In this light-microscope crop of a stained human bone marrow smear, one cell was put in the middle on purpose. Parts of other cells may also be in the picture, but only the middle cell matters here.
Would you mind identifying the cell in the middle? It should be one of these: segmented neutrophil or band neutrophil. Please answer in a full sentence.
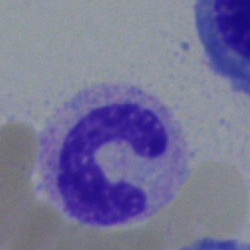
Occupying the centre of the crop is a band neutrophil.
